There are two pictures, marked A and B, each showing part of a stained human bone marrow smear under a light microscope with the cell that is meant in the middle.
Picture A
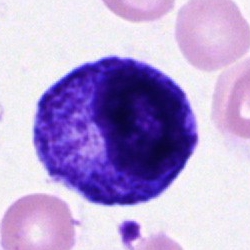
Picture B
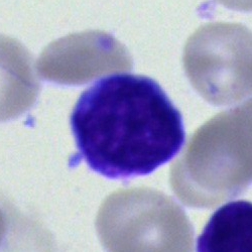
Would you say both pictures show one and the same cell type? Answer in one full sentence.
No, picture A shows a promyelocyte and picture B shows a blast.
